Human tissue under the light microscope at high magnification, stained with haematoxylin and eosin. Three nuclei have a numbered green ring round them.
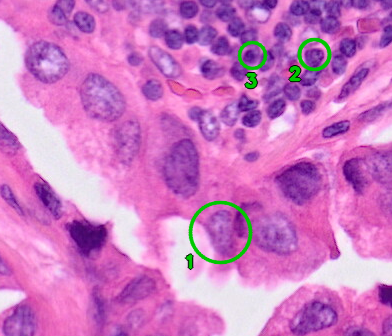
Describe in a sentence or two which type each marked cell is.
Cell 1 is a carcinoma cell. Cells 2 and 3 are lymphocytes.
